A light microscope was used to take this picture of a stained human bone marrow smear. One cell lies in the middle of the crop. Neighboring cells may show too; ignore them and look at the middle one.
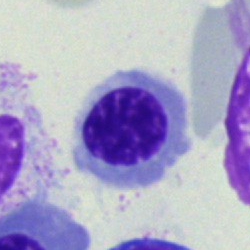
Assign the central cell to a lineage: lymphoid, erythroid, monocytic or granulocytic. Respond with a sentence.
The middle cell of the crop belongs with the cells of the erythroid lineage.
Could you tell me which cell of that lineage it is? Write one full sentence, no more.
The cell of interest, in the center, is an erythroblast.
